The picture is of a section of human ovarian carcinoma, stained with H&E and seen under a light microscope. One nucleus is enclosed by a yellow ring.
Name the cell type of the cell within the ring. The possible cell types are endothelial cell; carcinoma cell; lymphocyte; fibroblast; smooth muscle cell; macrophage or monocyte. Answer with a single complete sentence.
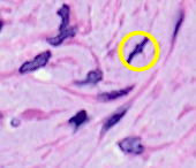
In this field of tissue, the cell within the ring is a fibroblast.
